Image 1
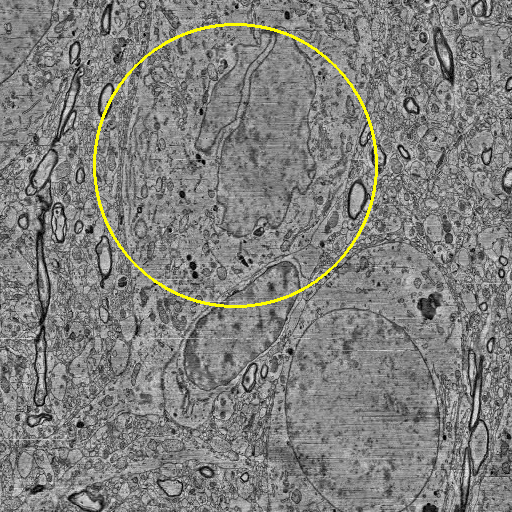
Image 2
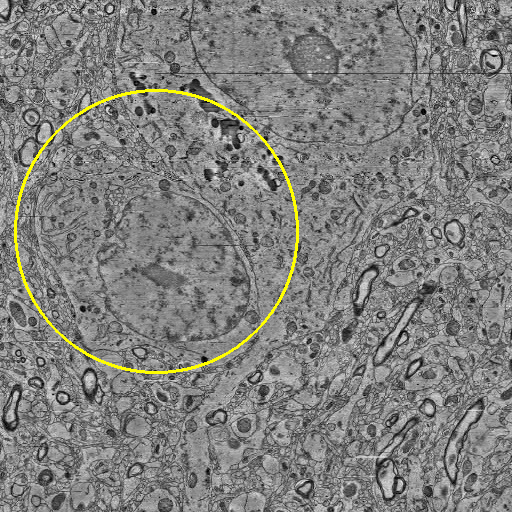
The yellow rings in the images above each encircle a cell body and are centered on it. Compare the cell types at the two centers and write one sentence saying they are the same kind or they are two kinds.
Taken together, the two cells at the ring centers are two kinds.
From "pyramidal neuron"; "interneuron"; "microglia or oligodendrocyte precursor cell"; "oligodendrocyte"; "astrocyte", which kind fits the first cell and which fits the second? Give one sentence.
The cell marked in the first picture is a pyramidal neuron, and the one marked in the second is an interneuron.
